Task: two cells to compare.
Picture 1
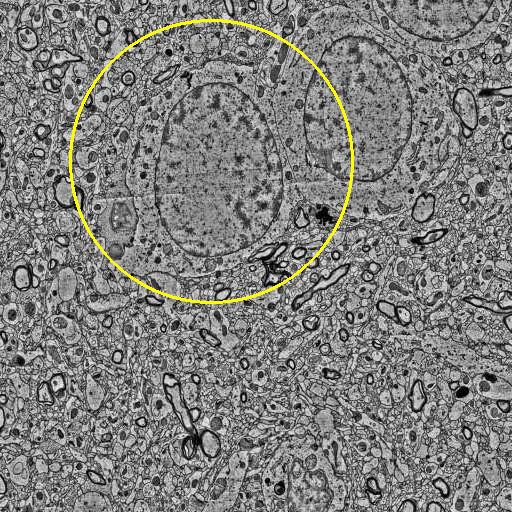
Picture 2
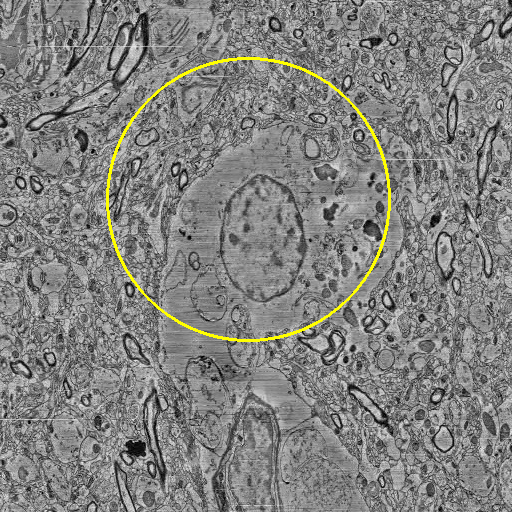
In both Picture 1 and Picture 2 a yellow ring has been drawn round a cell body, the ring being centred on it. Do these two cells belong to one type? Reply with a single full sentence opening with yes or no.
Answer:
No, the two cells at the ring centres in Picture 1 and Picture 2 are of two types.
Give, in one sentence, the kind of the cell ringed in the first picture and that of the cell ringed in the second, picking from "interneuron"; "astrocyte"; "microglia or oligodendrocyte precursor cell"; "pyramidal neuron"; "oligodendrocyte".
For the first picture it is an interneuron; for the second, an astrocyte.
